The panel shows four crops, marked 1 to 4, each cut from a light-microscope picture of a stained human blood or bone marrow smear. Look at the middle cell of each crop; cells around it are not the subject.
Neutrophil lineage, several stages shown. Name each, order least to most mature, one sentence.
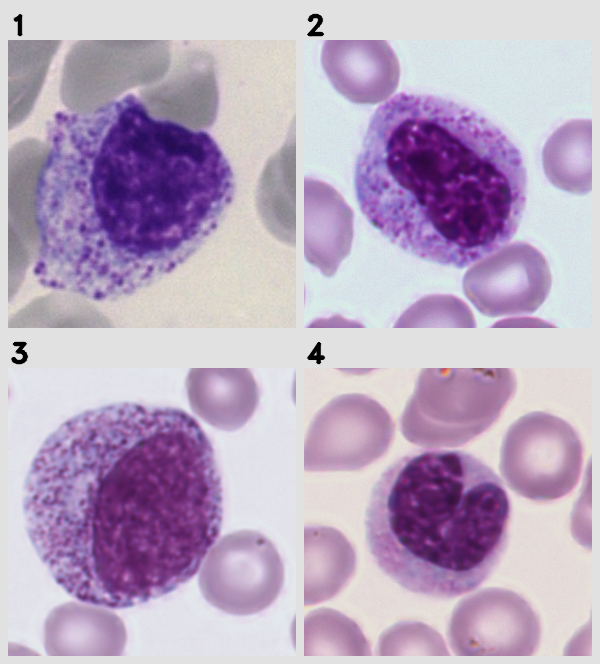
Ordered from least to most mature, the cells run crop 3 (a promyelocyte), crop 1 (a myelocyte), crop 2 (a metamyelocyte) and crop 4 (a band neutrophil).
